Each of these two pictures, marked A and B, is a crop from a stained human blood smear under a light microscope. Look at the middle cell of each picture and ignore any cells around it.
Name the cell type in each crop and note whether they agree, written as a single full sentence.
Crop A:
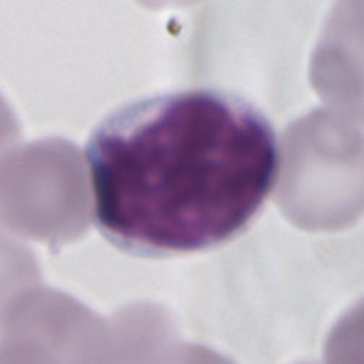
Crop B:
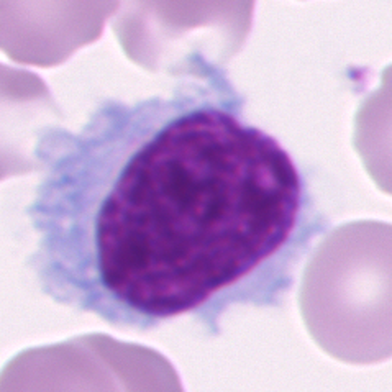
No, a hairy cell is the cell in crop B, and crop A contains a large granular lymphocyte.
